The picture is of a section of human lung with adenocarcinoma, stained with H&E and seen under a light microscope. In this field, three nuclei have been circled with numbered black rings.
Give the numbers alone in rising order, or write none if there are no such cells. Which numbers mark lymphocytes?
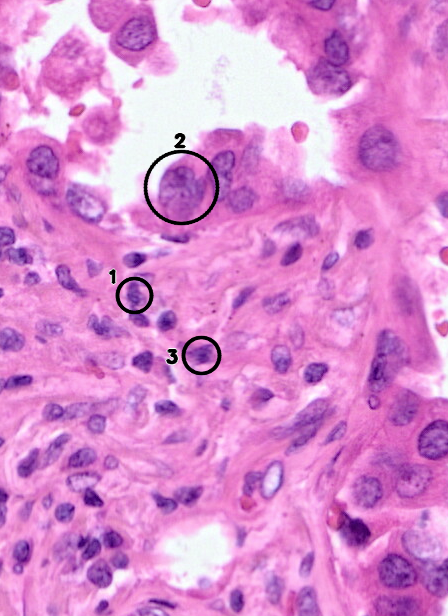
1, 3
